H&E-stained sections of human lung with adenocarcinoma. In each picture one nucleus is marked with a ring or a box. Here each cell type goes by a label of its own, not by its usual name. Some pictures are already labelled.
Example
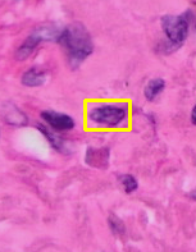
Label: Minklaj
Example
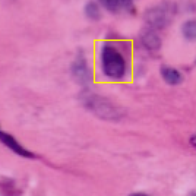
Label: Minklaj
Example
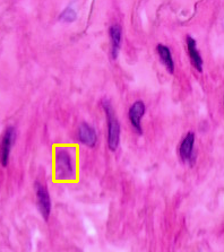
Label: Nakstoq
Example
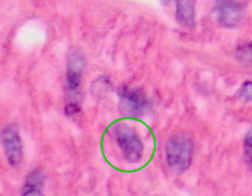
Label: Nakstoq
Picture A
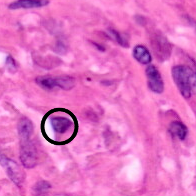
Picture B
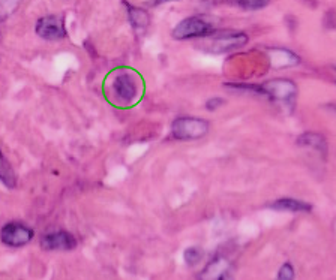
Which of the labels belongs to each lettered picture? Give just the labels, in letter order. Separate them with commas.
Minklaj, Minklaj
